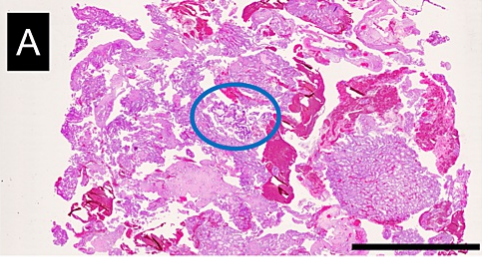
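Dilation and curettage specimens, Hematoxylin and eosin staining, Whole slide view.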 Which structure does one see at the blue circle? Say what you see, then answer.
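The circled area holds a group of small branching, frond-like fragments. The fragments are paler purple than the dense red blood clot beside them.
Cluster of villi.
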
